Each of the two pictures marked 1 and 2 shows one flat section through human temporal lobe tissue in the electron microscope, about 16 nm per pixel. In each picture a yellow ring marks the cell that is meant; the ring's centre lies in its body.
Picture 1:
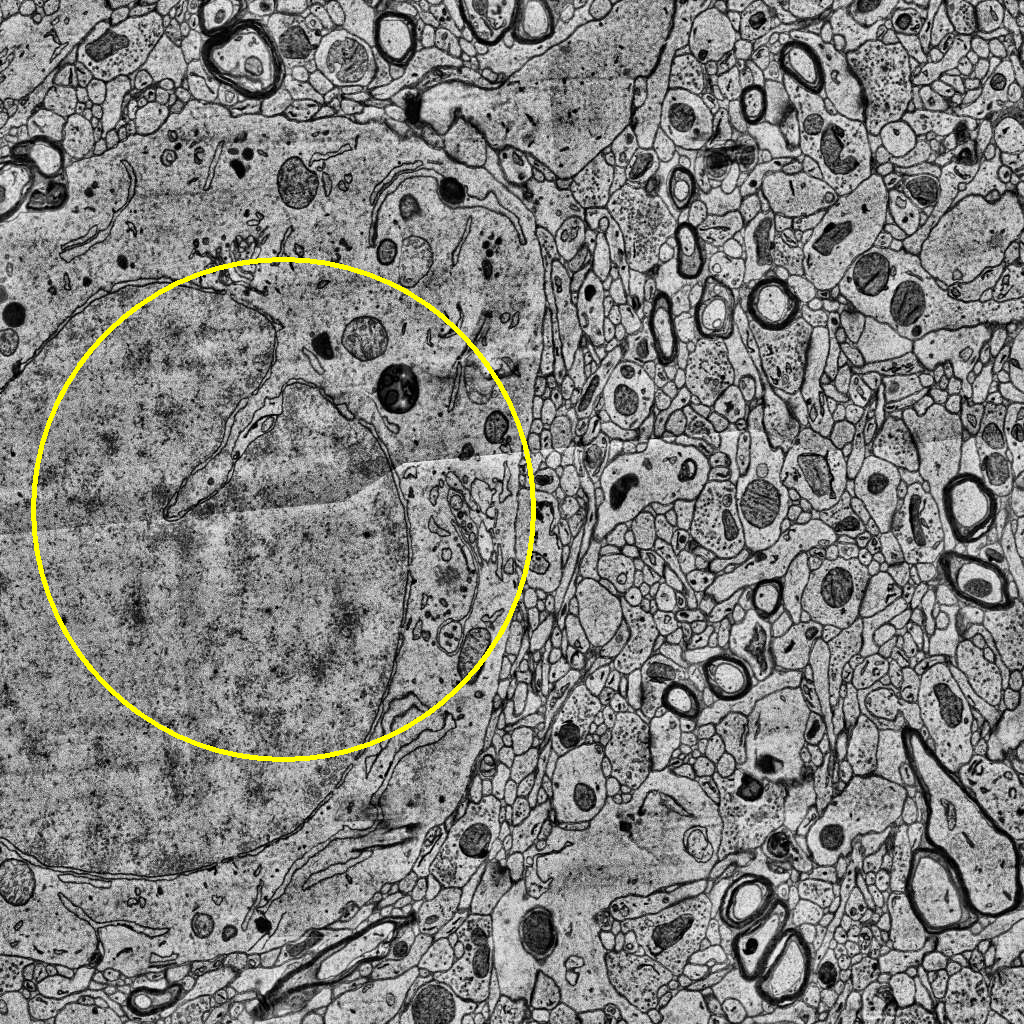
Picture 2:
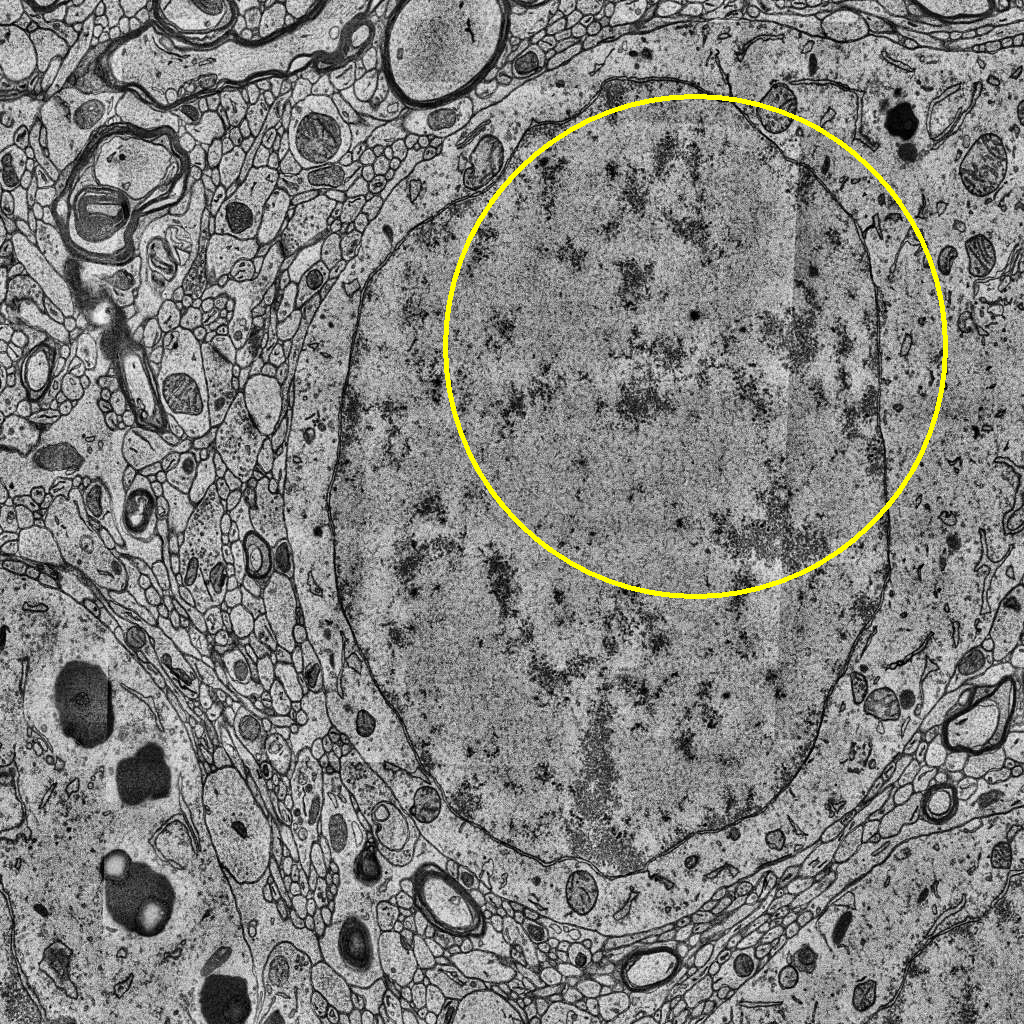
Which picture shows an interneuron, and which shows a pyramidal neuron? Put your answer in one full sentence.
Picture 1 shows an interneuron and picture 2 shows a pyramidal neuron.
